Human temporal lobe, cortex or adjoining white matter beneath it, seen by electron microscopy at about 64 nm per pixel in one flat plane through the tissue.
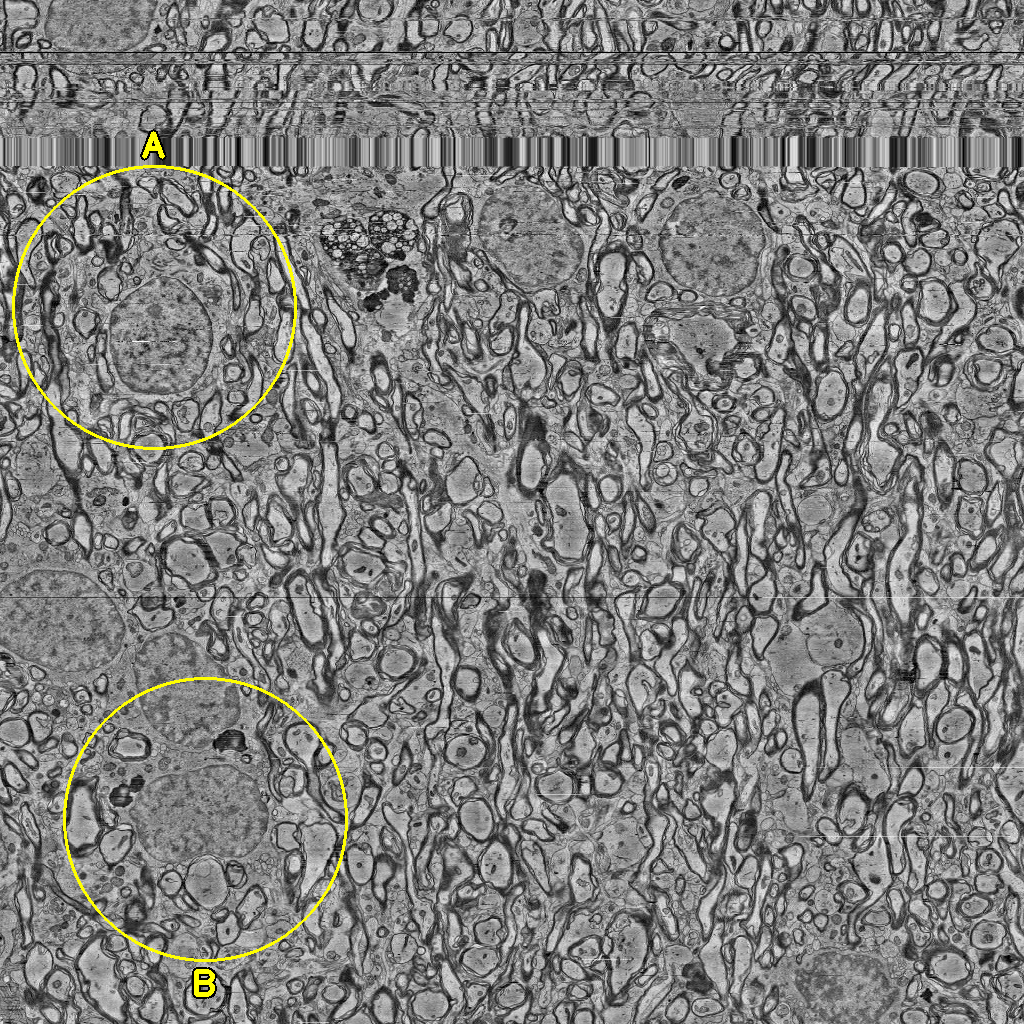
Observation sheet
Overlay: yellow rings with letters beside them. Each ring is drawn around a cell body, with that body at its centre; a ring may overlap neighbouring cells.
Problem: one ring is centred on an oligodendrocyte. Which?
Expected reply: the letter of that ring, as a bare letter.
B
